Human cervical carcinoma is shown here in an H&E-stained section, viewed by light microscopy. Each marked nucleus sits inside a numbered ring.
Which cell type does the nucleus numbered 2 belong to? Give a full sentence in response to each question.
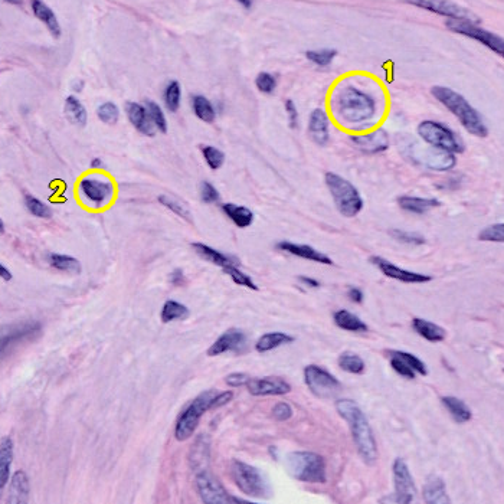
The cell that carries the label 2 is a fibroblast.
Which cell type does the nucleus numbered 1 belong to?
Among the marked nuclei, number 1 belongs to an endothelial cell.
